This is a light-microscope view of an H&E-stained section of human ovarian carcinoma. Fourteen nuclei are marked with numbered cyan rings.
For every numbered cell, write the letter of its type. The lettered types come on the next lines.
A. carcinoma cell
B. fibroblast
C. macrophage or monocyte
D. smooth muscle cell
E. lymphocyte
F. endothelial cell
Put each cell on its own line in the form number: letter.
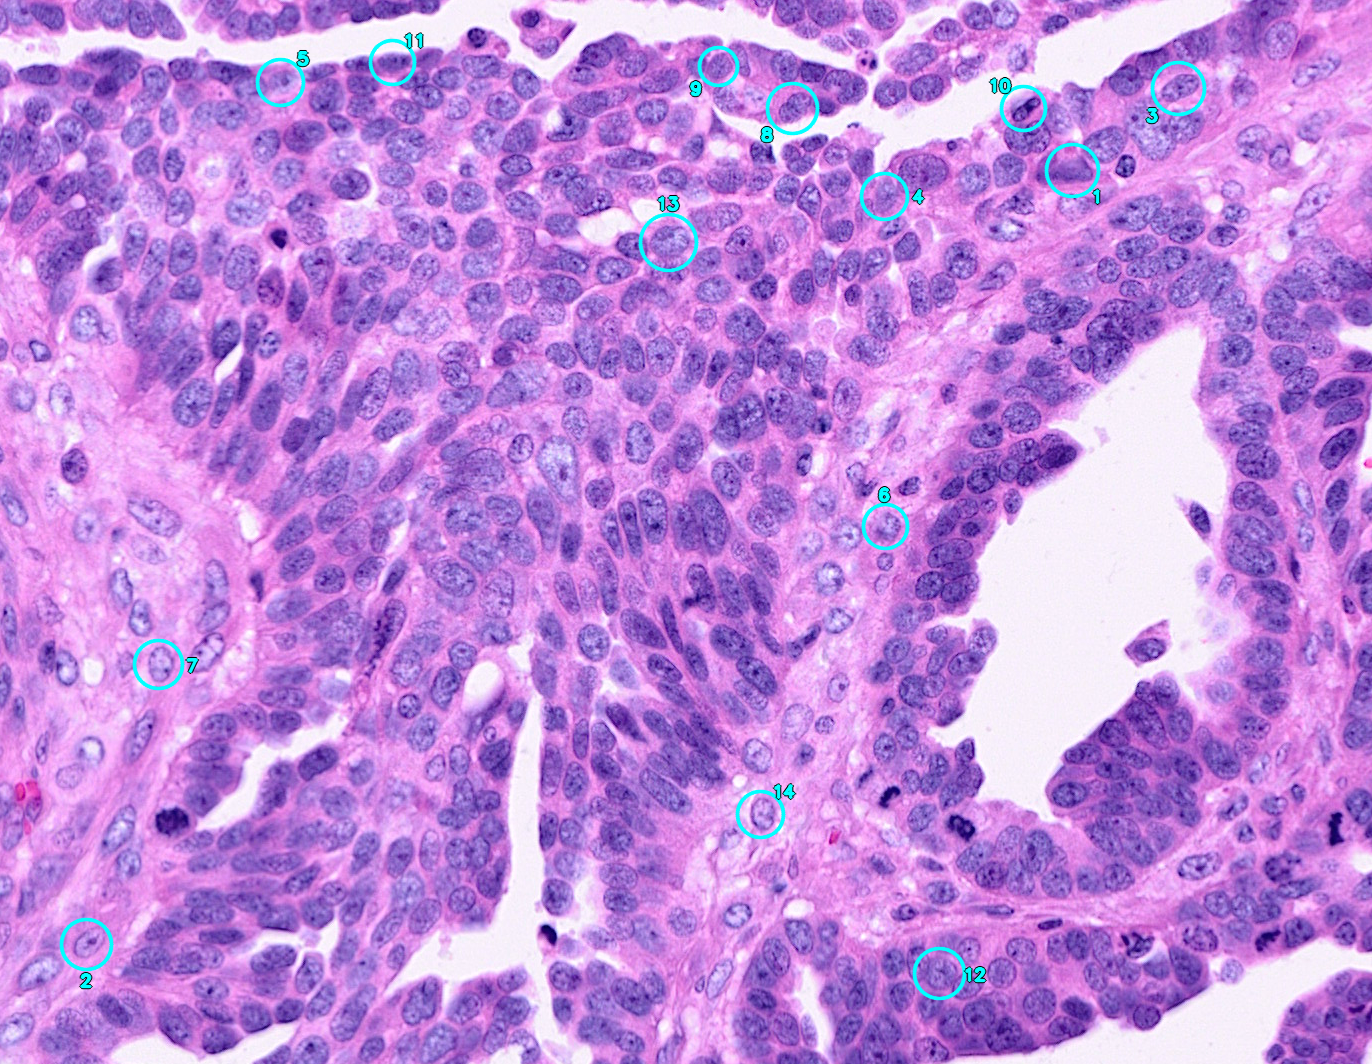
1: A
2: B
3: C
4: A
5: A
6: B
7: B
8: A
9: A
10: C
11: A
12: A
13: A
14: B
